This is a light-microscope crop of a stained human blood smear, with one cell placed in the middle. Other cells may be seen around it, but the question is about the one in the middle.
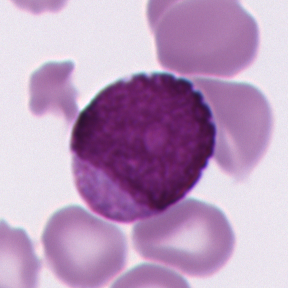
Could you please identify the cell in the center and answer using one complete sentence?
Classified as a blast is the cell in the middle of this crop.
